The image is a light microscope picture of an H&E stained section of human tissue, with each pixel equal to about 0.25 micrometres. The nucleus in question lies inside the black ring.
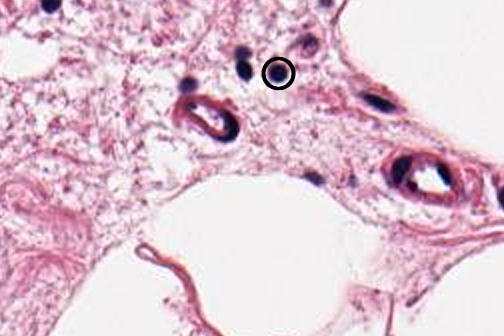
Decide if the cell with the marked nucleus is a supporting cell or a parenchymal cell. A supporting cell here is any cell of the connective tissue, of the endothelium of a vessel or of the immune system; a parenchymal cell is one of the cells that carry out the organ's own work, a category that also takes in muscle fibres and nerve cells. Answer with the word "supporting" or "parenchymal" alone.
supporting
